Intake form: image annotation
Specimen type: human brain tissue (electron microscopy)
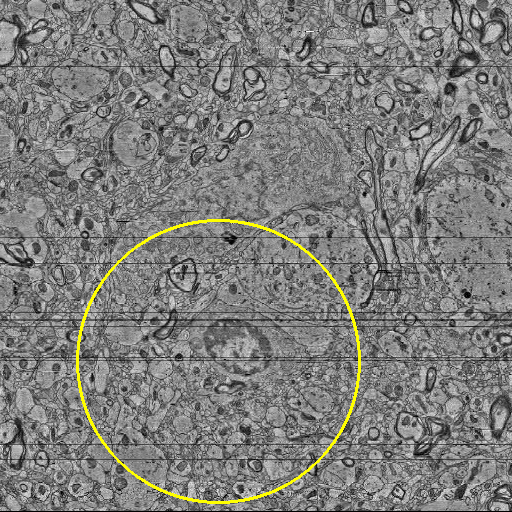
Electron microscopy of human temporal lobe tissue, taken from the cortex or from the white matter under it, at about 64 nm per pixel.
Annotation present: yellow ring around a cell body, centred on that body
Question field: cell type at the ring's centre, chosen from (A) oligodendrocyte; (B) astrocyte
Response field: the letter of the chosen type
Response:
A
